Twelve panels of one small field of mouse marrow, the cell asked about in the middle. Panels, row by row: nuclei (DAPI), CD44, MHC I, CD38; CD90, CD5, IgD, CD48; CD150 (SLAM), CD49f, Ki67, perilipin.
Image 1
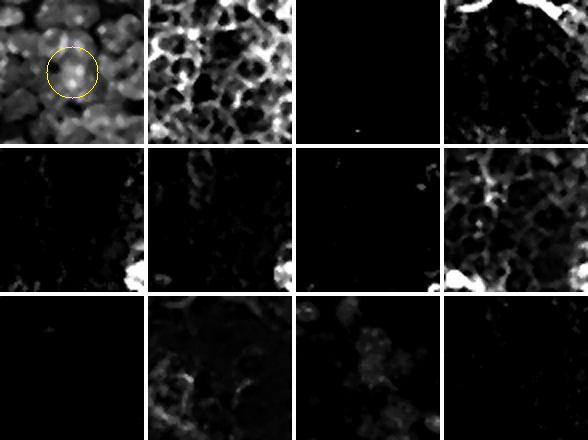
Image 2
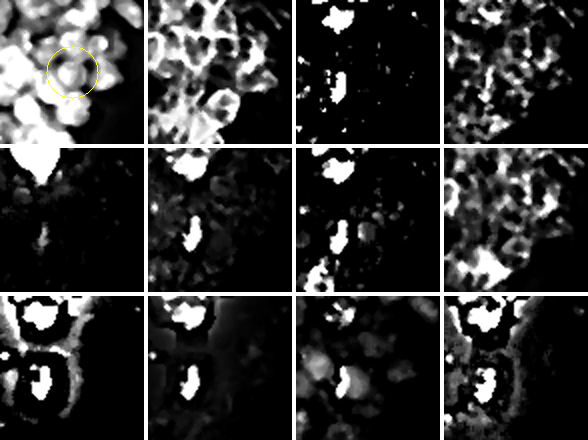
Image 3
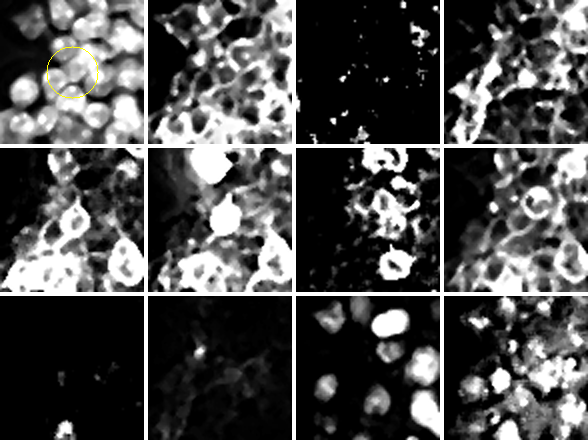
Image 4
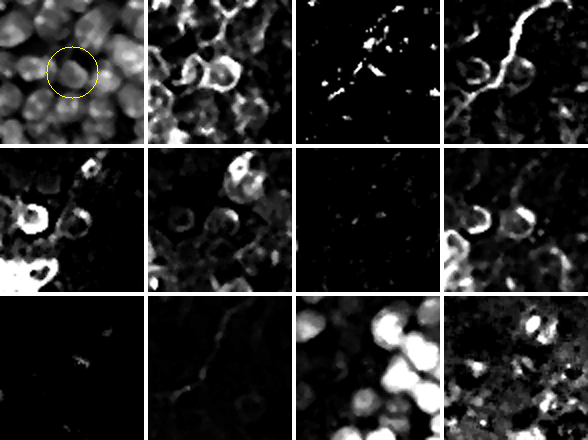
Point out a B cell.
That is picture 2.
